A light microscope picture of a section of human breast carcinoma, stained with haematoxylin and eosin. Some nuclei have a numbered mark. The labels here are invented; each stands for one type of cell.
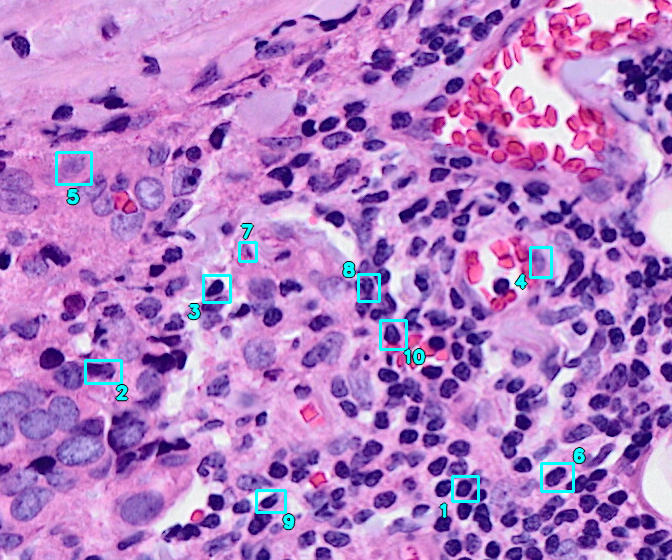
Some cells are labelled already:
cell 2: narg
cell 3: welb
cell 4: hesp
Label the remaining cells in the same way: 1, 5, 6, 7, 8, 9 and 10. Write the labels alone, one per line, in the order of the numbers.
welb
hesp
welb
hesp
welb
welb
welb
